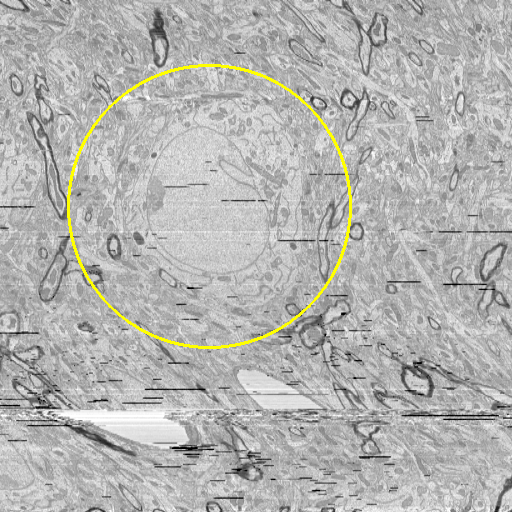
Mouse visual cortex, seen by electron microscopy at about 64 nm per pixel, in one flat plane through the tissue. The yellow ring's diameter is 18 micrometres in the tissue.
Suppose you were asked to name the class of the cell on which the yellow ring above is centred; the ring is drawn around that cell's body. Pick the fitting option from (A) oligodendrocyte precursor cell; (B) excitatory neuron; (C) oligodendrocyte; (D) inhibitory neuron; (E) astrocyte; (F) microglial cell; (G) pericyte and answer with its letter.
B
